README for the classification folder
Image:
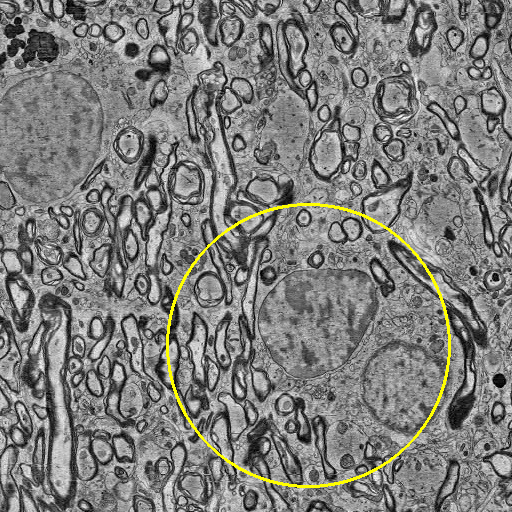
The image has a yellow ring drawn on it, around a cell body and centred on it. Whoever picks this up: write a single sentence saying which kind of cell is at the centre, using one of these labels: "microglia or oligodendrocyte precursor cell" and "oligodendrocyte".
This cell body is that of a microglial cell or oligodendrocyte precursor cell.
